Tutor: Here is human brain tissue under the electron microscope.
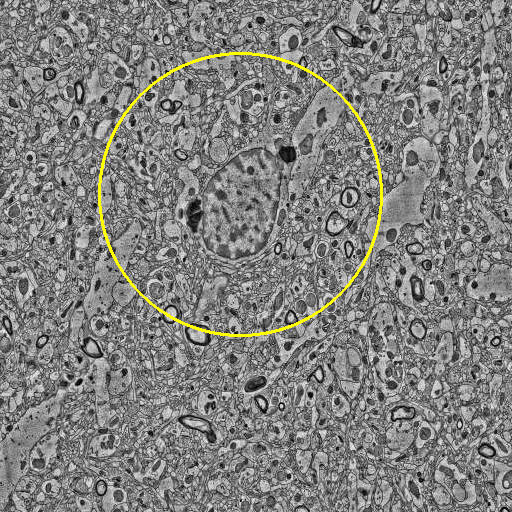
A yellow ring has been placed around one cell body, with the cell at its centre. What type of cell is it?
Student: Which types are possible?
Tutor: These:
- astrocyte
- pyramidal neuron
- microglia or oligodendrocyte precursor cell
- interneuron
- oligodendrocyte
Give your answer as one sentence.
What the ring picks out here is an oligodendrocyte.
